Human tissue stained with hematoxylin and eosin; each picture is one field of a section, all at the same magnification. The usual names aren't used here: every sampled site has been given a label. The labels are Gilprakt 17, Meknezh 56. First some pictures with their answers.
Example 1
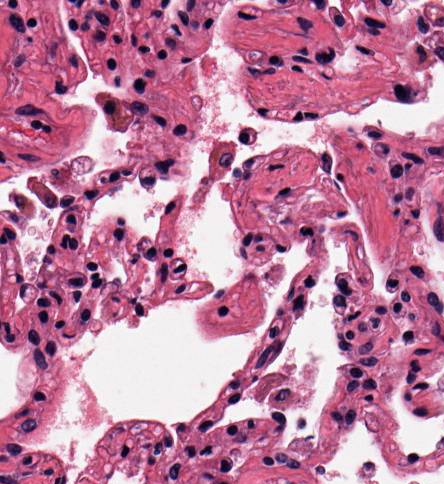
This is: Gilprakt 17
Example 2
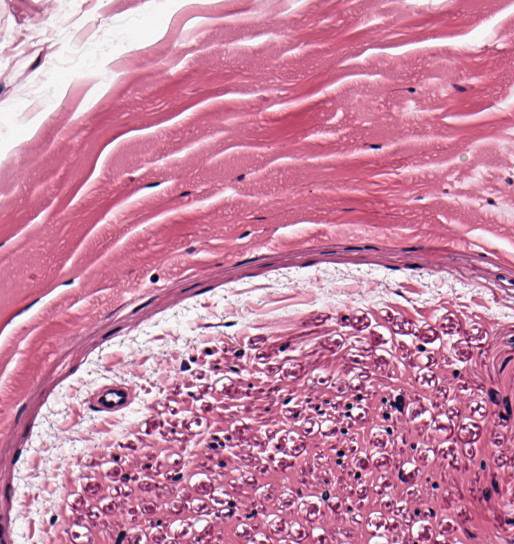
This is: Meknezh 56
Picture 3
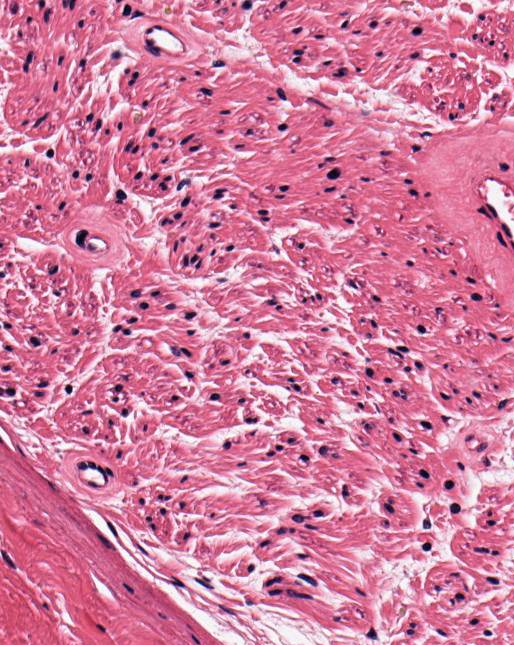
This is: Meknezh 56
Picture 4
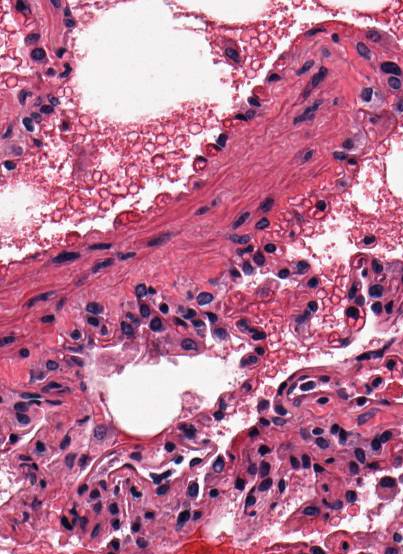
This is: Gilprakt 17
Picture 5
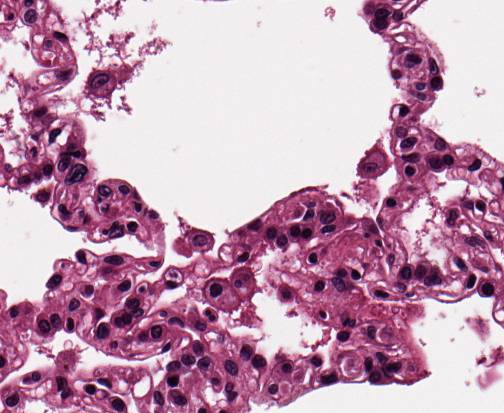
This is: Gilprakt 17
